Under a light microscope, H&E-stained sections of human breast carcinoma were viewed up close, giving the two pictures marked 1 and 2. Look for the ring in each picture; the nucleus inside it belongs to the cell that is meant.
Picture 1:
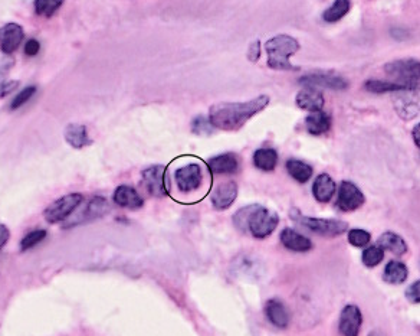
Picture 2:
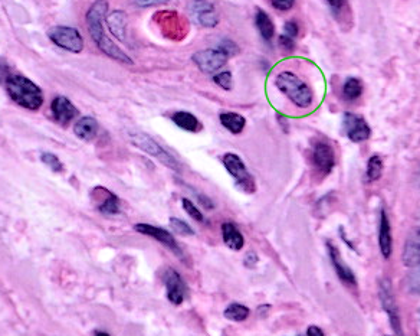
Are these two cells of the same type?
no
